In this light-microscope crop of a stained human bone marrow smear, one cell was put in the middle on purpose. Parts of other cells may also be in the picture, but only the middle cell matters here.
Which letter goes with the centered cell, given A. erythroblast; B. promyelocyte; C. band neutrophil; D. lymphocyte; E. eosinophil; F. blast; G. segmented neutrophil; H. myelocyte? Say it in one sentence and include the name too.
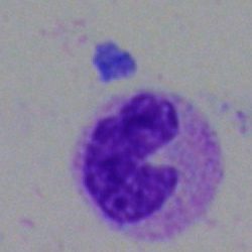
Option C correctly names the cell in the middle as a band neutrophil.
